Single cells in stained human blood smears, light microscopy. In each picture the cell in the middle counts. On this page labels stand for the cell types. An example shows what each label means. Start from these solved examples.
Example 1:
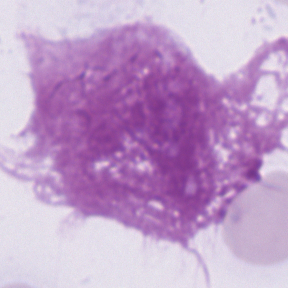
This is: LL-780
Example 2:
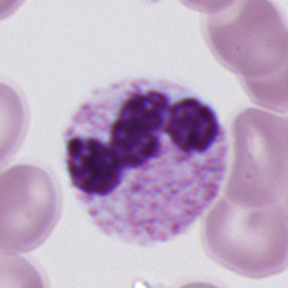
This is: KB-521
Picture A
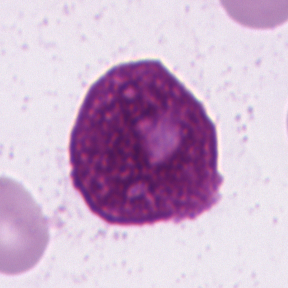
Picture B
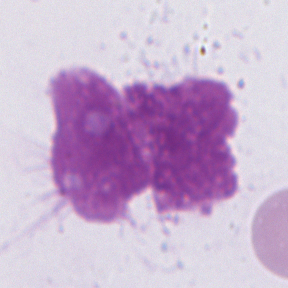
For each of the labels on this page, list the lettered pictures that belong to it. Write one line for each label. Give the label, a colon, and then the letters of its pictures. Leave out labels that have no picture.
LL-780: A, B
